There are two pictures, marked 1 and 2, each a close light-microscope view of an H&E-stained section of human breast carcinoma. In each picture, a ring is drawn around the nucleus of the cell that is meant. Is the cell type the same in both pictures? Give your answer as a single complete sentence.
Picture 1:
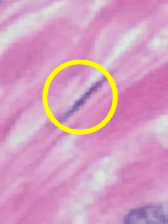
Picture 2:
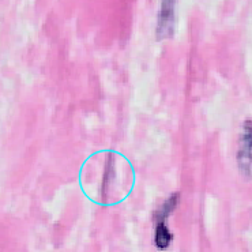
Yes, they are the same type: both are fibroblasts.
